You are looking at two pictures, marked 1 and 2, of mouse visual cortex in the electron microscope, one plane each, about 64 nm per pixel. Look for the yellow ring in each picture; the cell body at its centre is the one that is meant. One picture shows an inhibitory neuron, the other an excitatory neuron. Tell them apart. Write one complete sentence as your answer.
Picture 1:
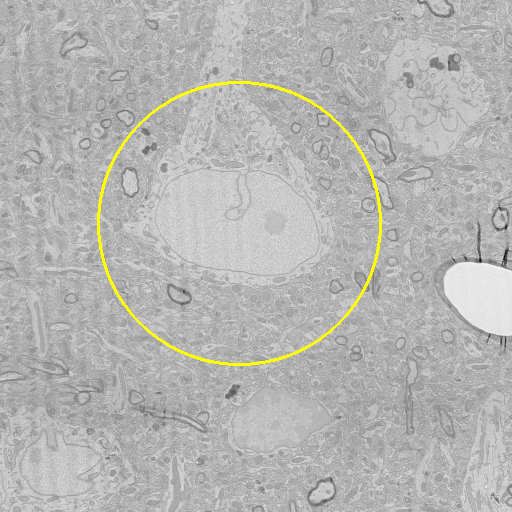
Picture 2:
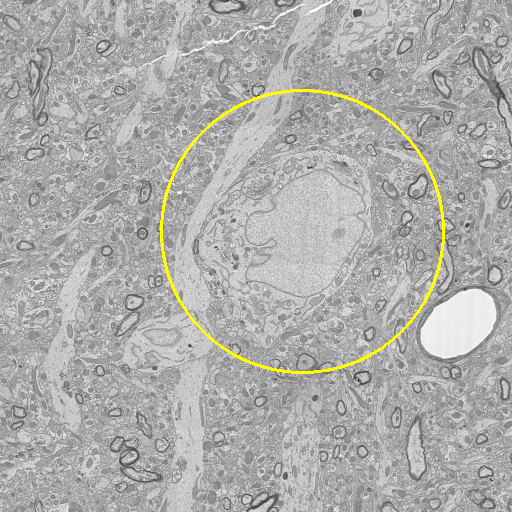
The cell in picture 1 is an excitatory neuron, and the one in picture 2 is an inhibitory neuron.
